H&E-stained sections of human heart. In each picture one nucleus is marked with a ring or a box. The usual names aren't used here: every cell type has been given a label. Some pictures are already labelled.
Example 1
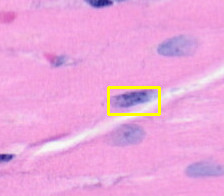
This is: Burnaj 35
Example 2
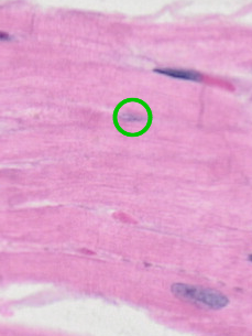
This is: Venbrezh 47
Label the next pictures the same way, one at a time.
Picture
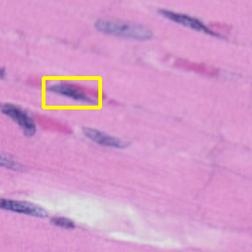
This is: Burnaj 35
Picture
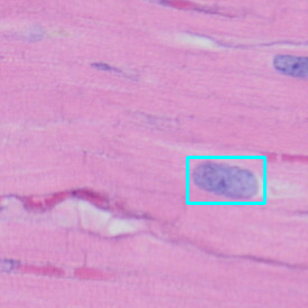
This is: Venbrezh 47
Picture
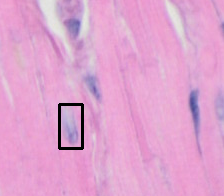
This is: Venbrezh 47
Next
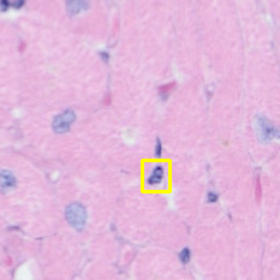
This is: Burnaj 35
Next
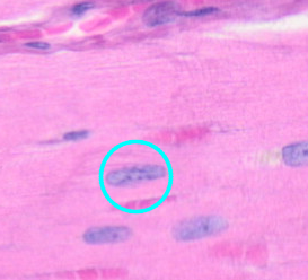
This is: Venbrezh 47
